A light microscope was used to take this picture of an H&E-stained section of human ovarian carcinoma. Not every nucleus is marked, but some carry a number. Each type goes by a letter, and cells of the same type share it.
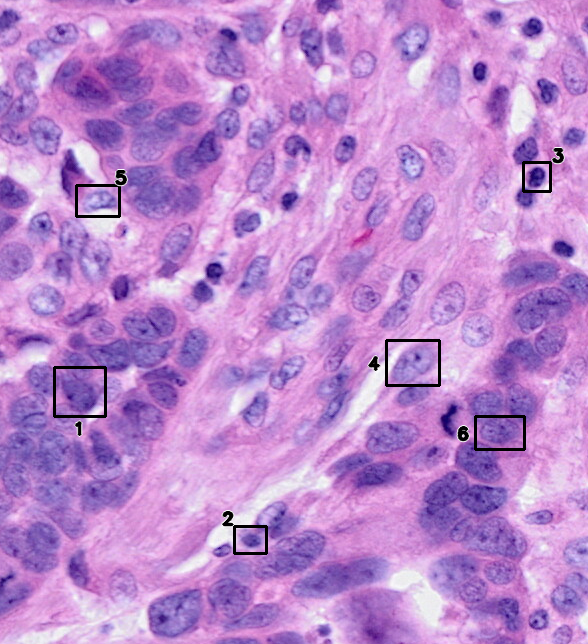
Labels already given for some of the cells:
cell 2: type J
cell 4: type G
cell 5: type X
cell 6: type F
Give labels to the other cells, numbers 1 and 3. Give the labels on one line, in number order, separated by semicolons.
type F; type J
